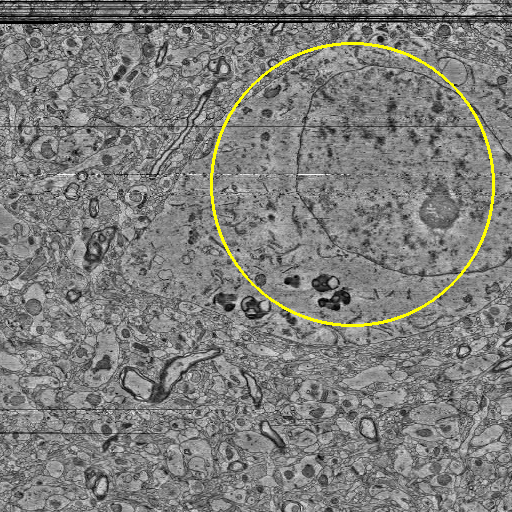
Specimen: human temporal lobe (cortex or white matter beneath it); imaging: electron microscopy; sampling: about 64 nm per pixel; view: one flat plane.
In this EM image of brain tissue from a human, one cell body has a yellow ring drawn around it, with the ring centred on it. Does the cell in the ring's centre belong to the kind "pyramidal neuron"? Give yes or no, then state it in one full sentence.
Yes, in the picture, the cell centred in the yellow ring belongs to that kind.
